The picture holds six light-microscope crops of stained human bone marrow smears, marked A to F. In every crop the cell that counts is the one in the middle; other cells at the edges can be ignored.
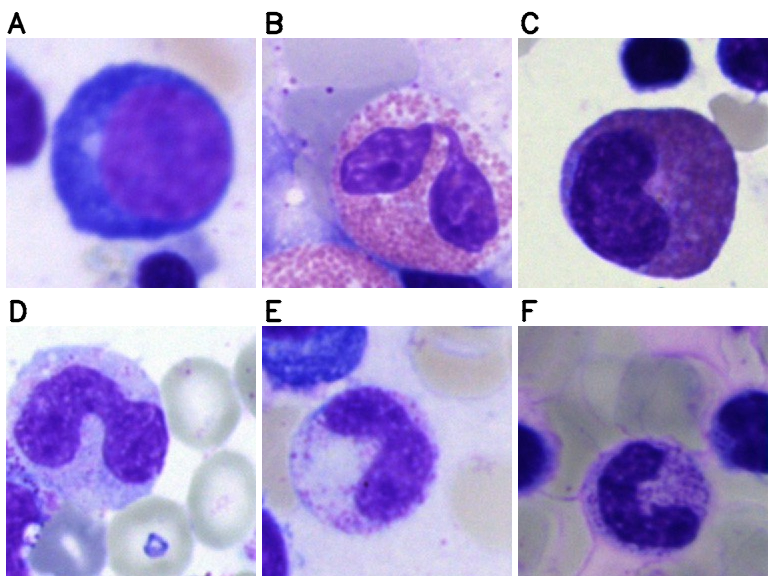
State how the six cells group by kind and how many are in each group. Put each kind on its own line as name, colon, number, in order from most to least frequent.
band neutrophil: 3
eosinophil: 2
proerythroblast: 1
